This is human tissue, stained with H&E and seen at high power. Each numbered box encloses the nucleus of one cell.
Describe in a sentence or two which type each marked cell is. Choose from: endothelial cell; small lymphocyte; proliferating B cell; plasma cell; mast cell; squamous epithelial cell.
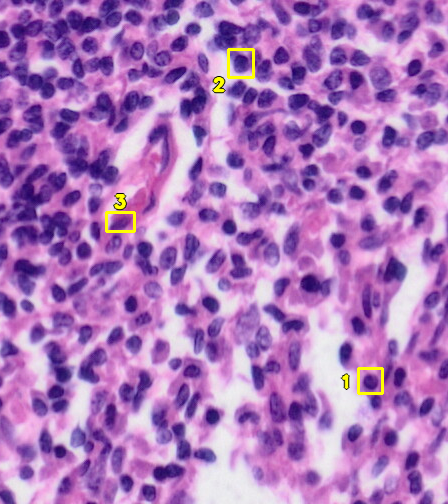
Cell 1 is a plasma cell. Cell 2 is a small lymphocyte. Cell 3 is an endothelial cell.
